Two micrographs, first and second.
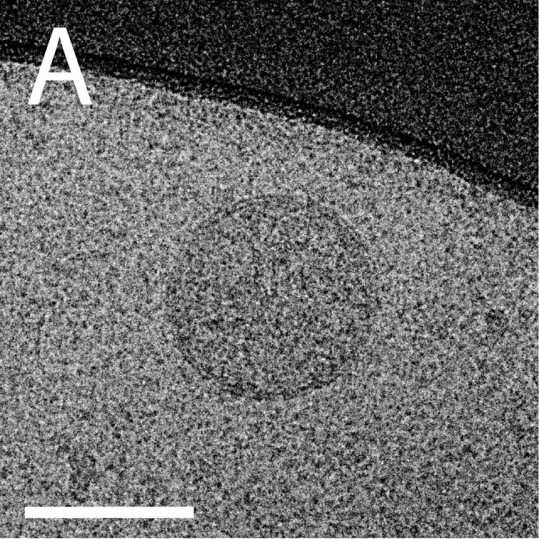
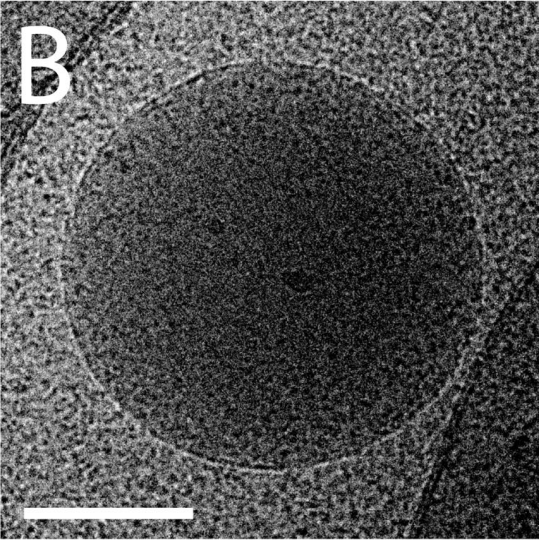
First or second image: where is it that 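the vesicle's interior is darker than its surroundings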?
The second image.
